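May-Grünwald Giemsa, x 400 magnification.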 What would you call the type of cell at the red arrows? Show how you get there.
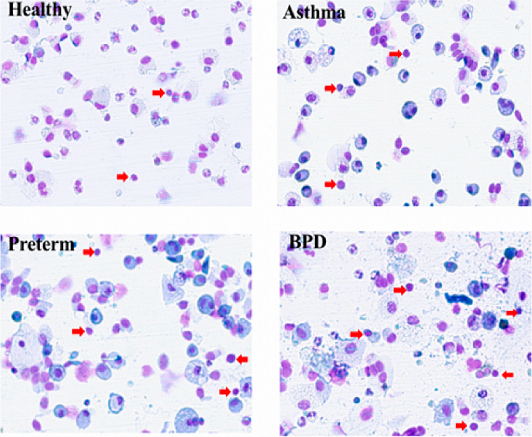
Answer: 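Lymphocytes. The marked cells are small and round, smaller than most cells around them. Each has a round, dark purple nucleus filling most of the cell. Only a thin rim of cytoplasm is visible around the nucleus.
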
